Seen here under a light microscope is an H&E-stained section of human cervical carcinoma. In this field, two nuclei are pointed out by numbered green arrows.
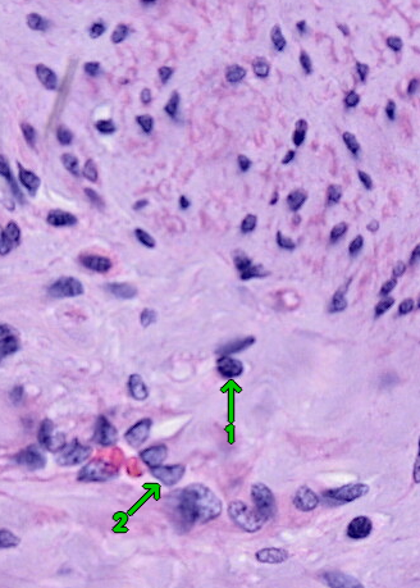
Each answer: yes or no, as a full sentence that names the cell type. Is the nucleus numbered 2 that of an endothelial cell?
Yes, the marked cell number 2 is an endothelial cell.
